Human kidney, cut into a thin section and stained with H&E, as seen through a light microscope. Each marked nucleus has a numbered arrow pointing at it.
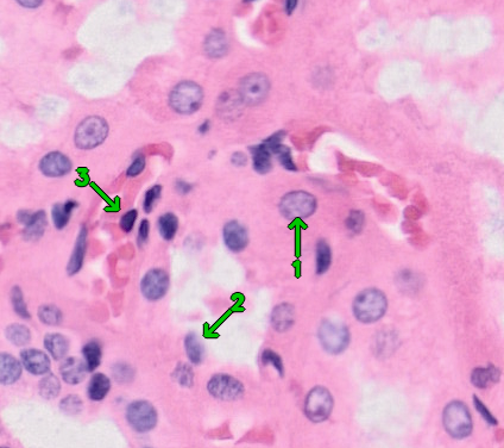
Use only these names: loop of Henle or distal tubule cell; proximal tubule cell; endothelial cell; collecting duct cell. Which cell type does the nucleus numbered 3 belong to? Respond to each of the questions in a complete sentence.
The cell that carries the label 3 is an endothelial cell.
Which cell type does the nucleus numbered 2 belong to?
Looking at the numbered marks, cell 2 is a loop of Henle or distal tubule cell.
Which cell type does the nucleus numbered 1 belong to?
The numbered cell 1 is identified here as a proximal tubule cell.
